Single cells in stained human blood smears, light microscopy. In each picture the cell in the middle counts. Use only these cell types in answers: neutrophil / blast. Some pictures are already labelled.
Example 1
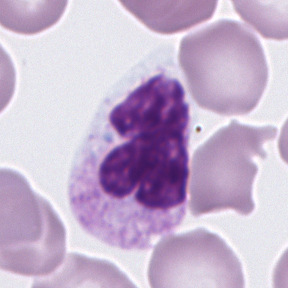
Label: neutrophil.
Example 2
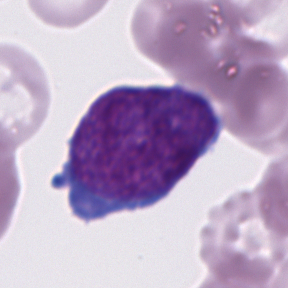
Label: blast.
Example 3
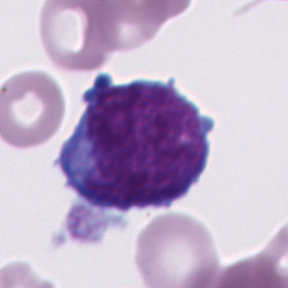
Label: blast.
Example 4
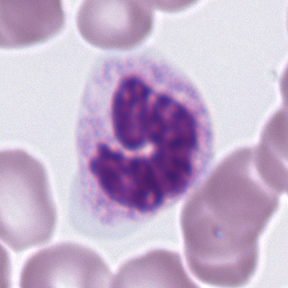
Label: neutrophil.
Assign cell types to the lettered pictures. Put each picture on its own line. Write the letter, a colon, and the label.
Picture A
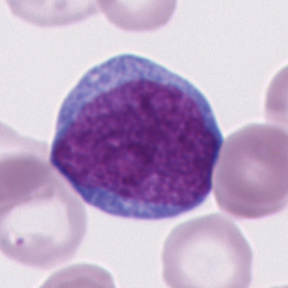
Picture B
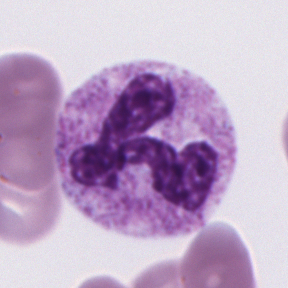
A: blast.
B: neutrophil.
